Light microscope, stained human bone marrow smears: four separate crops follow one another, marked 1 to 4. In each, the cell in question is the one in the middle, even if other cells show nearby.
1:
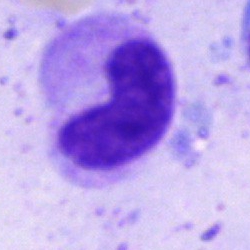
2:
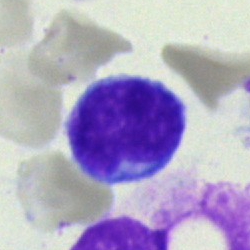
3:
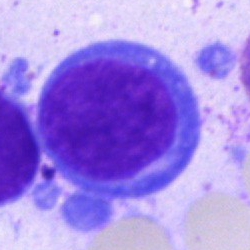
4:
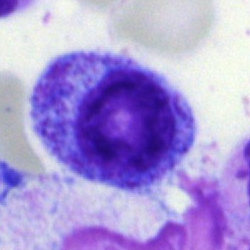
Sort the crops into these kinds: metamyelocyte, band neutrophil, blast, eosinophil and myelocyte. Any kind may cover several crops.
1: metamyelocyte
2: blast
3: blast
4: myelocyte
